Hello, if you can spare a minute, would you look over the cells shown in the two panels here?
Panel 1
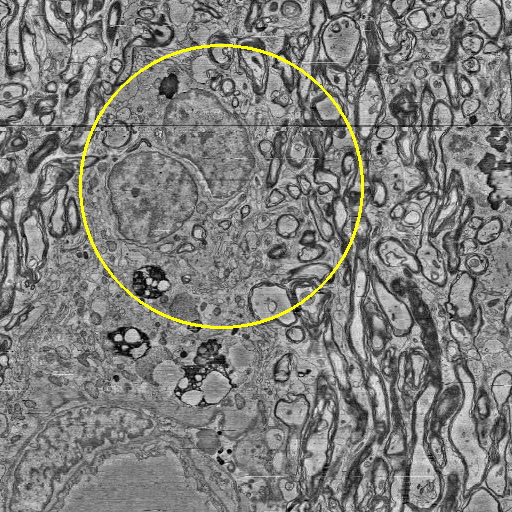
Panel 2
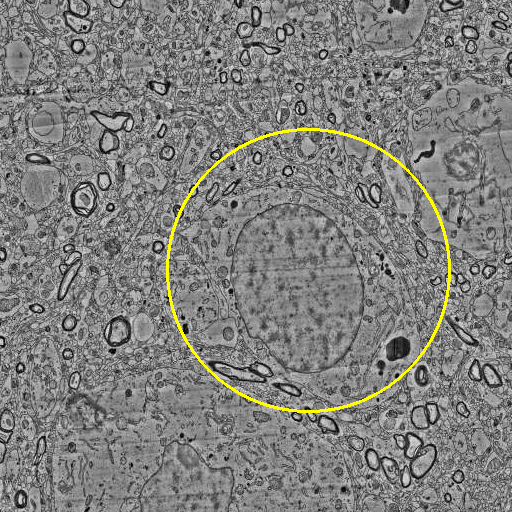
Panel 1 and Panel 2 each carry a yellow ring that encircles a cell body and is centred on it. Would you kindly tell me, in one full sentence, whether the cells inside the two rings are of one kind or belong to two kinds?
The cells at the centres of the rings in Panel 1 and Panel 2 belong to two kinds.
